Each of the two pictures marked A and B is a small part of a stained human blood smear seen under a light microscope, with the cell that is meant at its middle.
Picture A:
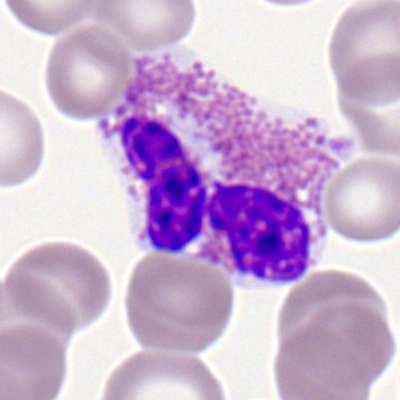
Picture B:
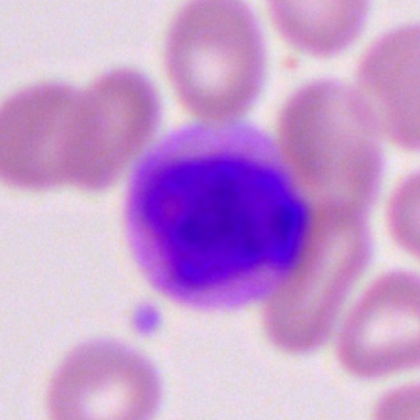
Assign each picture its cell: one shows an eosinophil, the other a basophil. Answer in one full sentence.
Picture A is of an eosinophil, and picture B is of a basophil.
